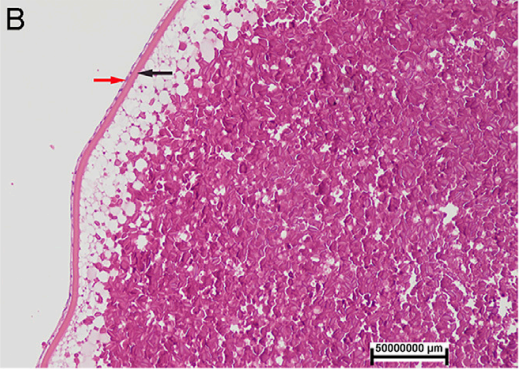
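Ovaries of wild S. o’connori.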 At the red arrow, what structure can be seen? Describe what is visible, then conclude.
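Follicular cell layer. The arrow points to the thin outermost layer wrapping the oocyte. This layer lies outside the pink acellular band.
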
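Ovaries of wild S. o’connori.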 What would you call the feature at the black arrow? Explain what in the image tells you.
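Chorion. The arrow points to a thin, even, pink acellular band at the surface of a large yolky oocyte. The band lies directly against the oocyte, inside a thinner outer layer.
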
